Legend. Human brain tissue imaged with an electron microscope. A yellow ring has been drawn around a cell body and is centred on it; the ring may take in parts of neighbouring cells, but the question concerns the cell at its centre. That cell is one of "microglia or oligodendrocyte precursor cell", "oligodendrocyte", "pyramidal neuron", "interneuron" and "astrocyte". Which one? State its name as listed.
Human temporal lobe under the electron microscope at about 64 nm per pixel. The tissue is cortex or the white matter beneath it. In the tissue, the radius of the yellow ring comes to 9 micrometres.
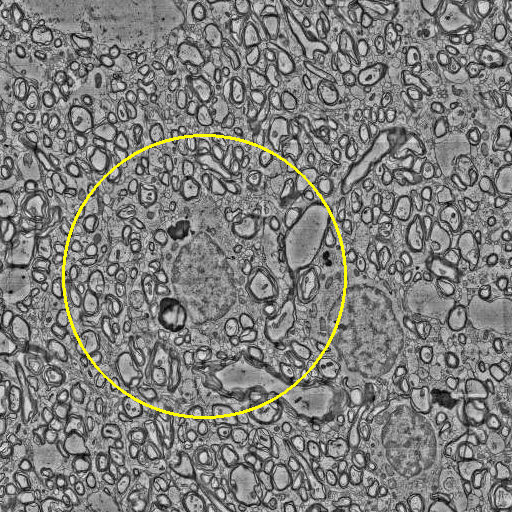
oligodendrocyte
